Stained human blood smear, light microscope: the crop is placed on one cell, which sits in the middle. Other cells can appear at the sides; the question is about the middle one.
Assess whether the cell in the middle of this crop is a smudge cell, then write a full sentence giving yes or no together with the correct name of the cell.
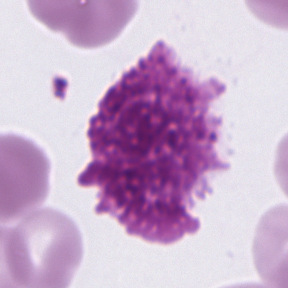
Yes, that is a smudge cell in the middle of the crop.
